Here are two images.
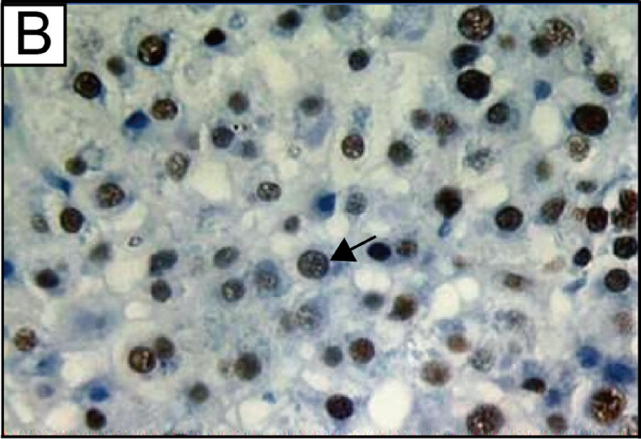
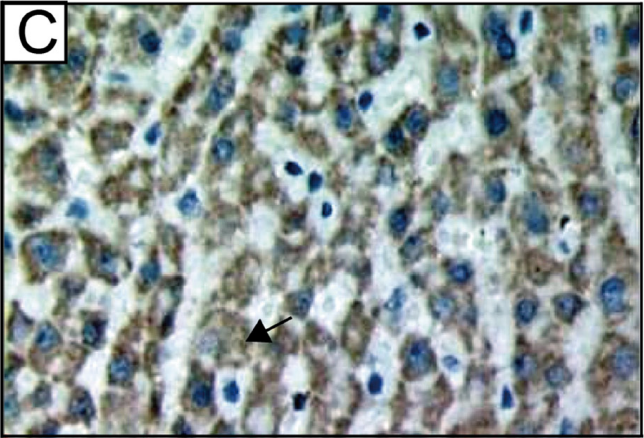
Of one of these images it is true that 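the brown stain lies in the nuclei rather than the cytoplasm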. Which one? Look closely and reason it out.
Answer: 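Second image: brown granules fill the cytoplasm while the nuclei stay blue. First image: brown staining lies in round nuclei while the cytoplasm stays pale blue. On this evidence: the first image.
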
